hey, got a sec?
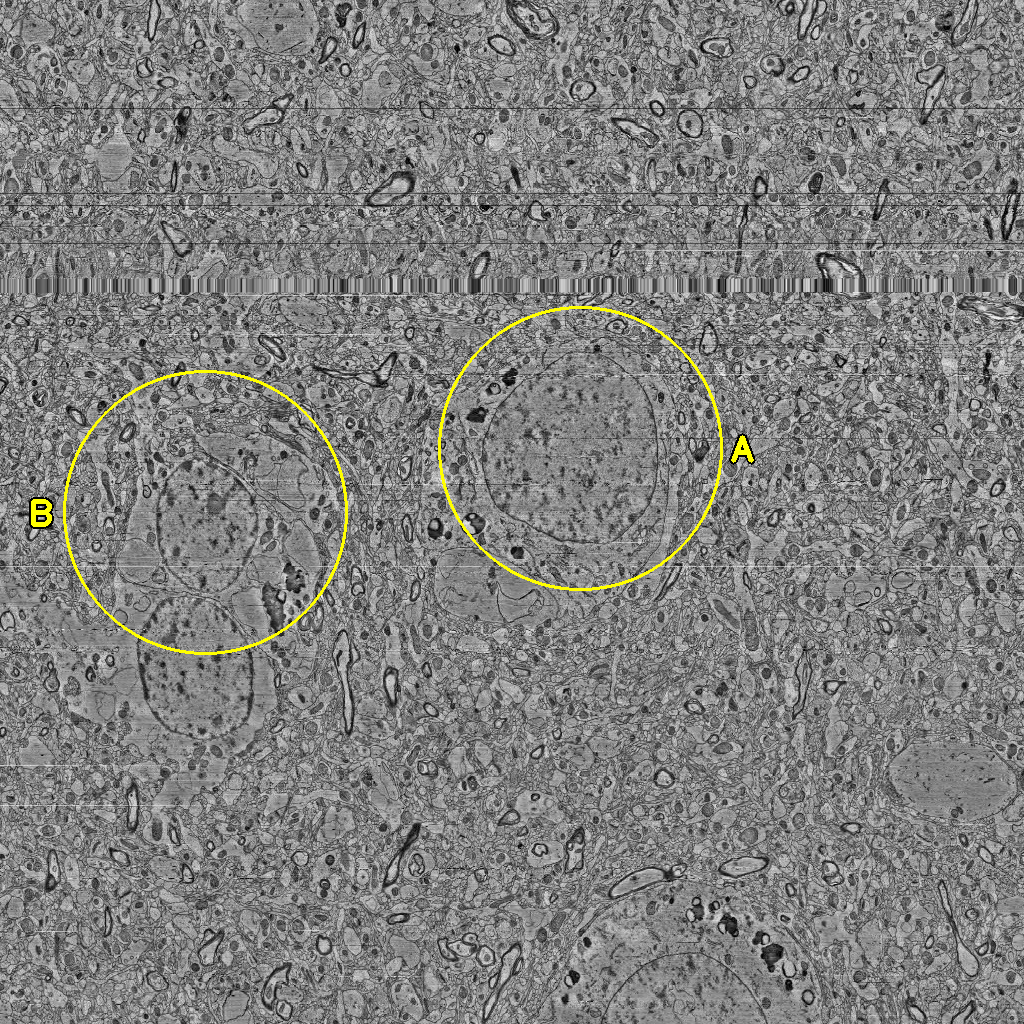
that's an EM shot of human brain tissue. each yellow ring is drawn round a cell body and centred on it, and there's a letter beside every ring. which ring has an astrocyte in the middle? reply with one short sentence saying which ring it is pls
Ring B is the one centred on it.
